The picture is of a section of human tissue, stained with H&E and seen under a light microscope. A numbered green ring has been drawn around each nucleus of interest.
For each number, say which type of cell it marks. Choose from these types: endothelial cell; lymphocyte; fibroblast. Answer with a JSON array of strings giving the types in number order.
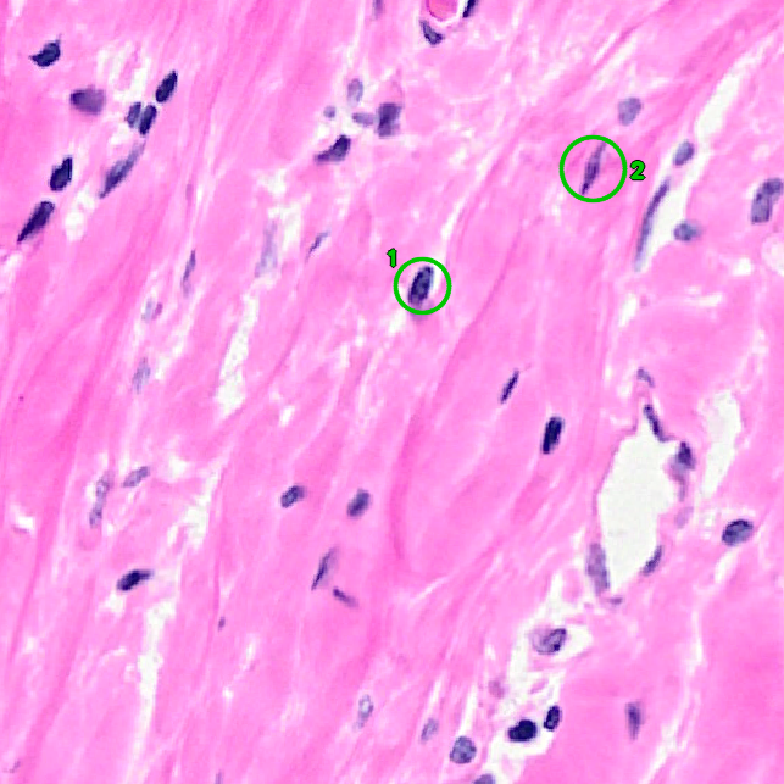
["lymphocyte", "fibroblast"]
